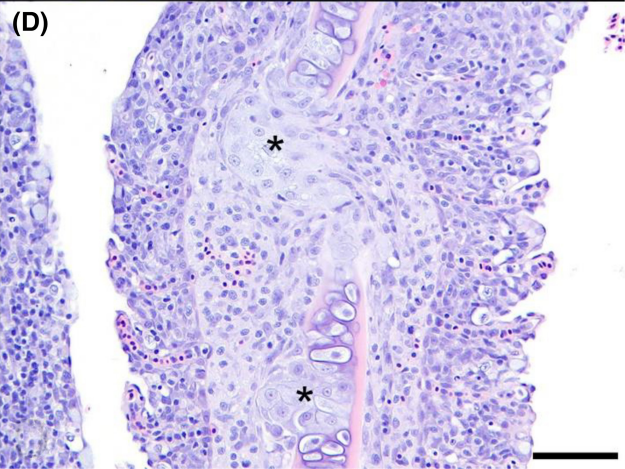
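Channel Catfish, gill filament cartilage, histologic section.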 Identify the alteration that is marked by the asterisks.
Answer: Chondrodysplasia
